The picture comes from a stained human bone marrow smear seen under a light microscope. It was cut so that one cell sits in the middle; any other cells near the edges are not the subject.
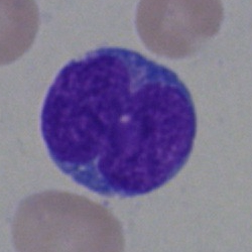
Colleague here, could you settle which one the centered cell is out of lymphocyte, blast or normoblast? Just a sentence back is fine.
Centred in the crop is a blast.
